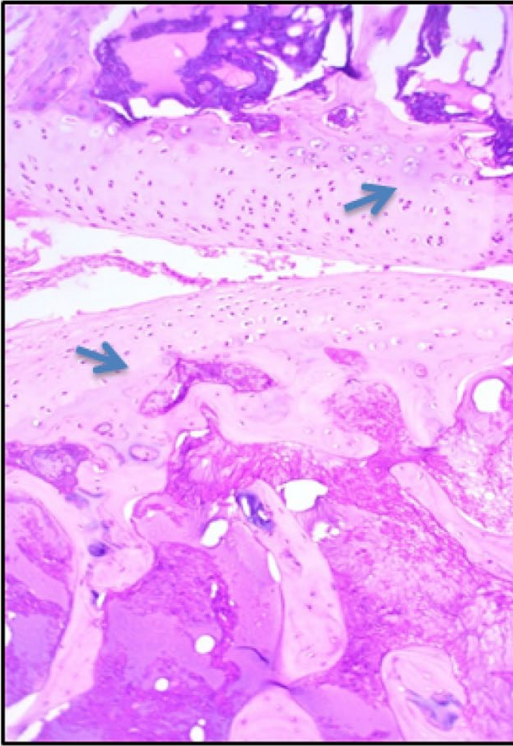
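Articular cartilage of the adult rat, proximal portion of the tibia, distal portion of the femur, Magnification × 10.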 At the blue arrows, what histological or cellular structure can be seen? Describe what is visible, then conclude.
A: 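Two pink cartilage layers face each other across a narrow joint space. Each layer has an upper zone of scattered small cells and a deeper zone bordering spongy bone. The arrows point into the cartilage between these two zones.
Basophilic tidemark.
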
